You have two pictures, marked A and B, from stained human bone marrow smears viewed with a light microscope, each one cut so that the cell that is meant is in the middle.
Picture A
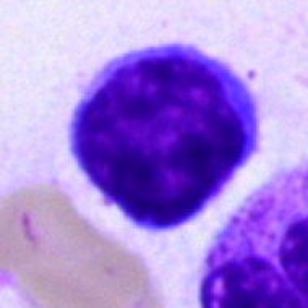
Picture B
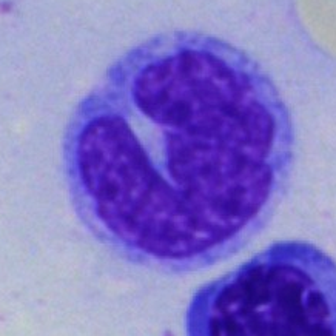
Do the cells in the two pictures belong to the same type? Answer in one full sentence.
No, the types are not the same, since picture A shows a lymphocyte and picture B a monocyte.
